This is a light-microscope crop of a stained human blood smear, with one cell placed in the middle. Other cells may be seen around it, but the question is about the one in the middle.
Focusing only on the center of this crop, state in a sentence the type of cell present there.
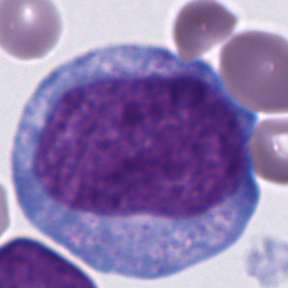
The target cell in the middle of the crop is a promyelocyte.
